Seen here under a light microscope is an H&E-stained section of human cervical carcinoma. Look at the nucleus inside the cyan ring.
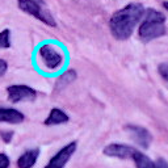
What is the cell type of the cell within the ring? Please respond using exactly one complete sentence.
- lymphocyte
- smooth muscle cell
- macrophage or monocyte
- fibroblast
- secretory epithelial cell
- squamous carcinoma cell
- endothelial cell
The identity of the cell within the ring is that of a fibroblast.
